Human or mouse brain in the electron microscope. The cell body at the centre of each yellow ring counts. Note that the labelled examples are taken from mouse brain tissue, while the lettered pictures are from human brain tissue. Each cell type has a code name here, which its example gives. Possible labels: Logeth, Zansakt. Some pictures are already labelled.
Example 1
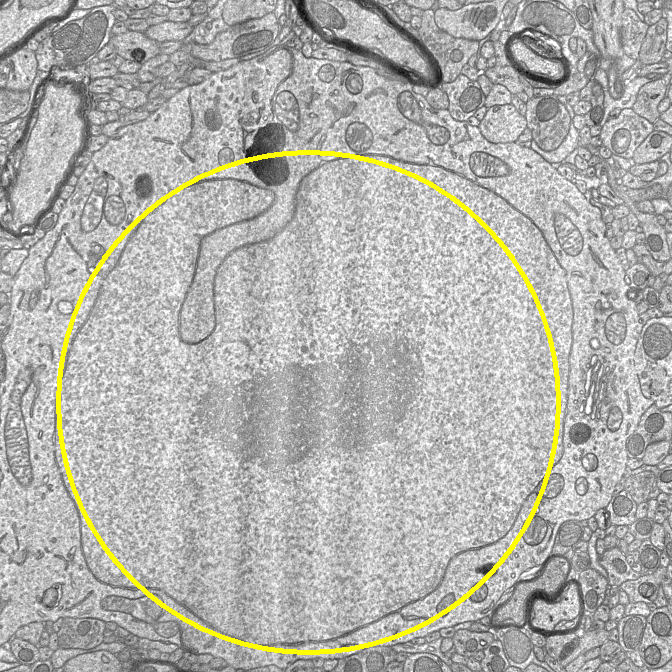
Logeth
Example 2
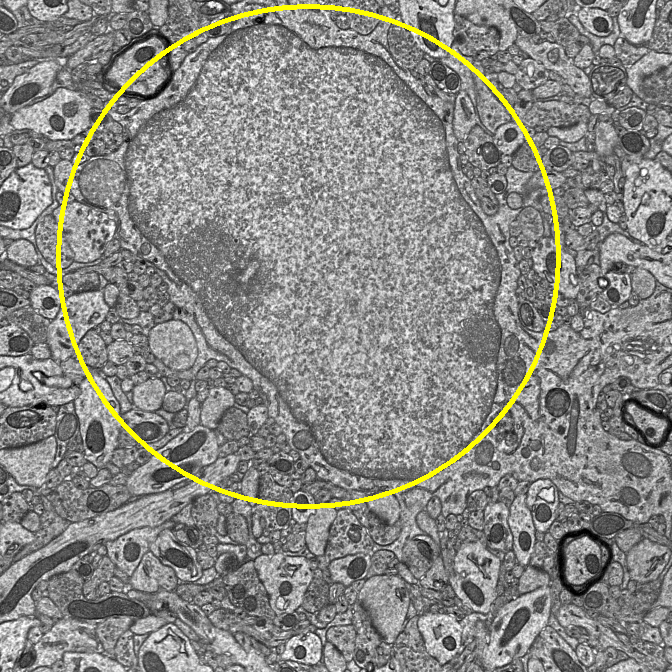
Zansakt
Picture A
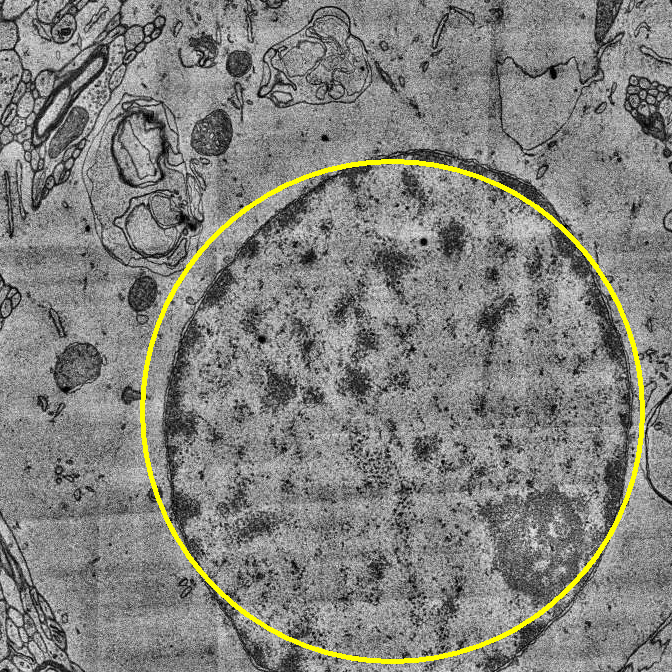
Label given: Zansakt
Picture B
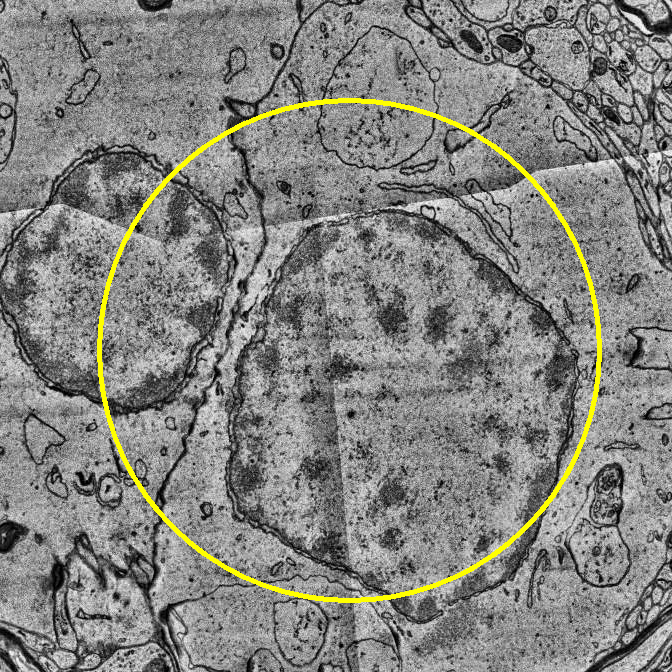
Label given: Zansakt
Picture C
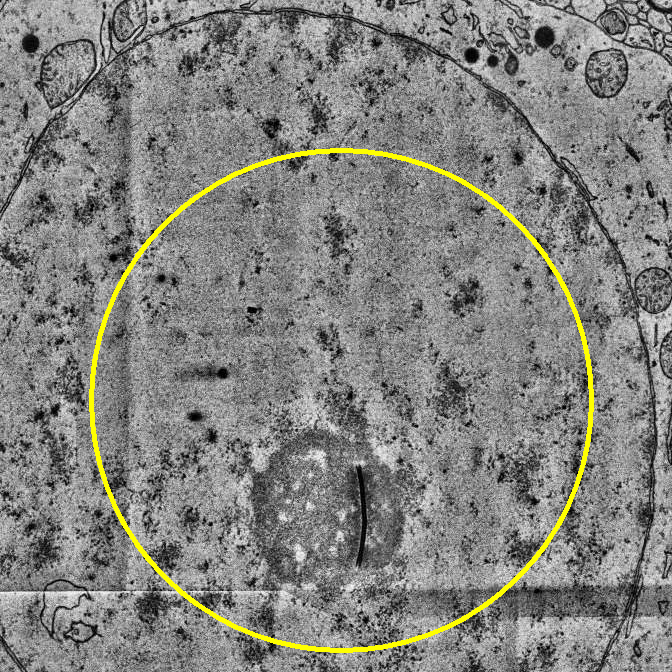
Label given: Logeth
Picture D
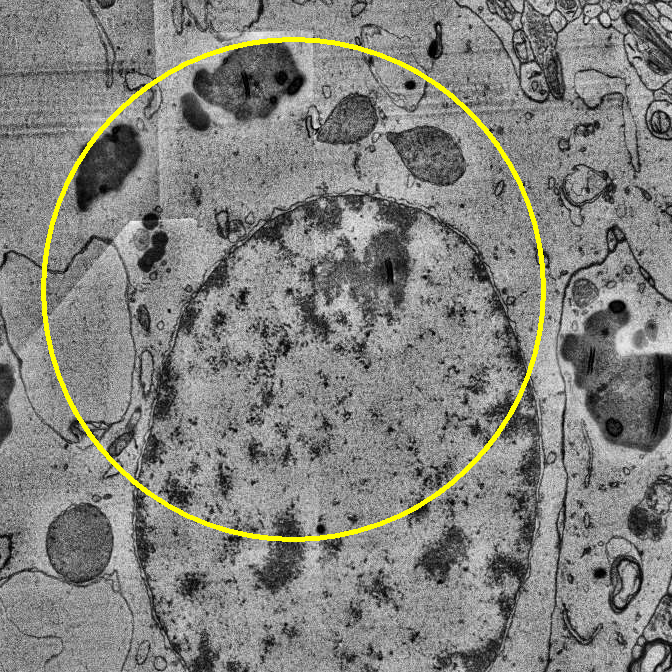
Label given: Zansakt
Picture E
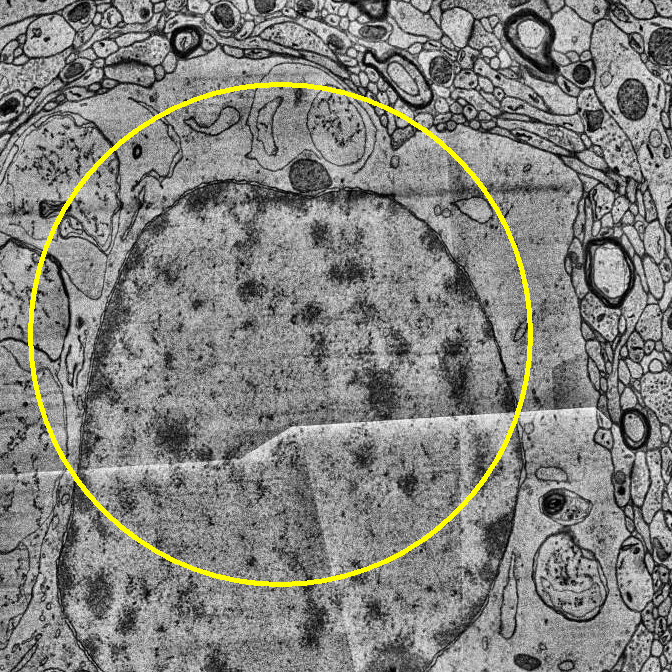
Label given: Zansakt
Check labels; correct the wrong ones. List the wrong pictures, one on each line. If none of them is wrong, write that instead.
No label is wrong.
